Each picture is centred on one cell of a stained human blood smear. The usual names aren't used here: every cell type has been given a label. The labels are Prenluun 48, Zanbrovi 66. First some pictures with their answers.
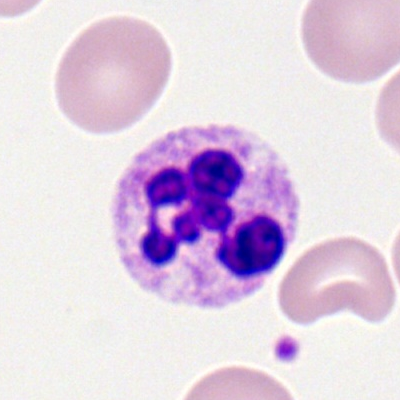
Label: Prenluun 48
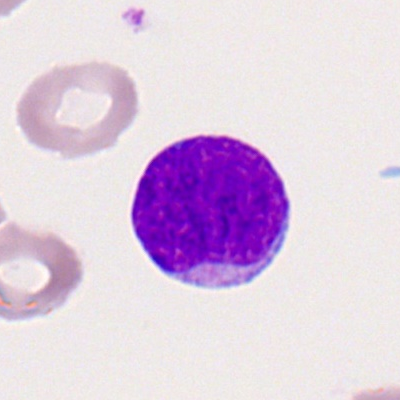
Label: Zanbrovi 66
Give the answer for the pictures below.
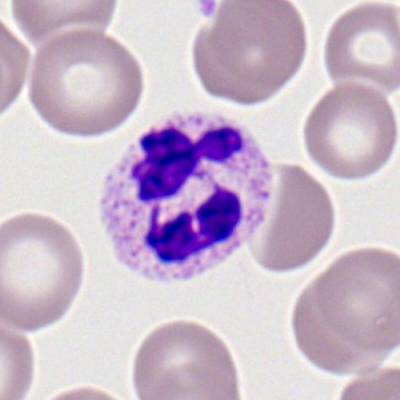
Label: Prenluun 48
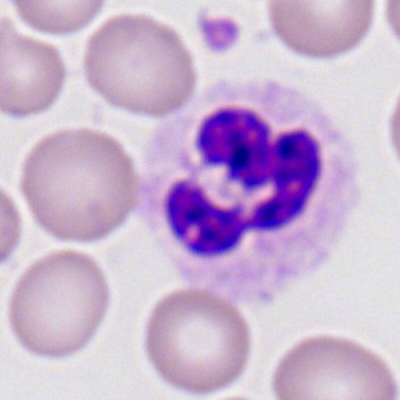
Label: Prenluun 48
